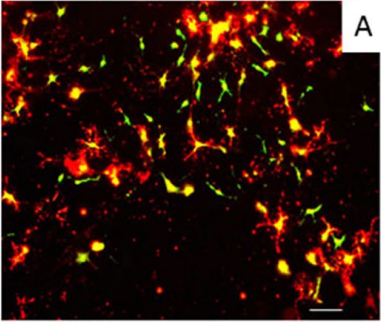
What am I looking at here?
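Most cells have small, elongated or triangular cell bodies that appear yellow where green and red overlap, while some are green only. Red labelling outlines short, branching processes extending from many cell bodies, giving them a bipolar to multipolar shape. Some green-only cells are slender and spindle-like with few processes. The cells are unevenly spread, denser in the upper half and sparser below.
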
